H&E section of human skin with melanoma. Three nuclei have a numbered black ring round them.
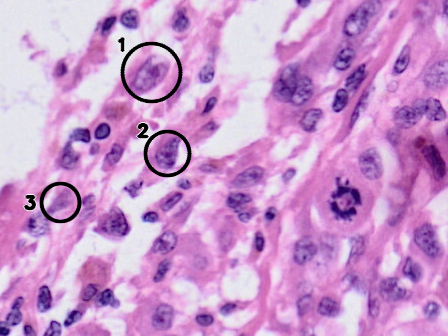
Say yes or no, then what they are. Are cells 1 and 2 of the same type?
Yes, cells 1 and 2 are both melanoma cells.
